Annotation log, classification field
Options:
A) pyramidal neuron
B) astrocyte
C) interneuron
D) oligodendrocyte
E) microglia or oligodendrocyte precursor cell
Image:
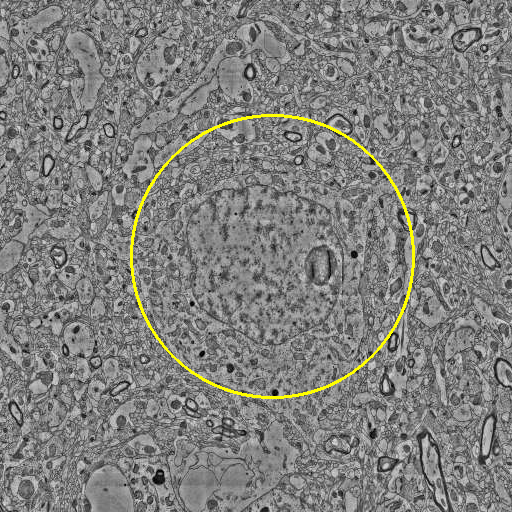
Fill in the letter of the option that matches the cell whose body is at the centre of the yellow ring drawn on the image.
C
